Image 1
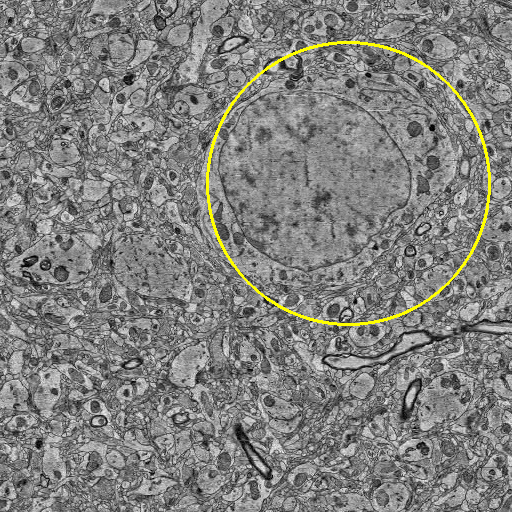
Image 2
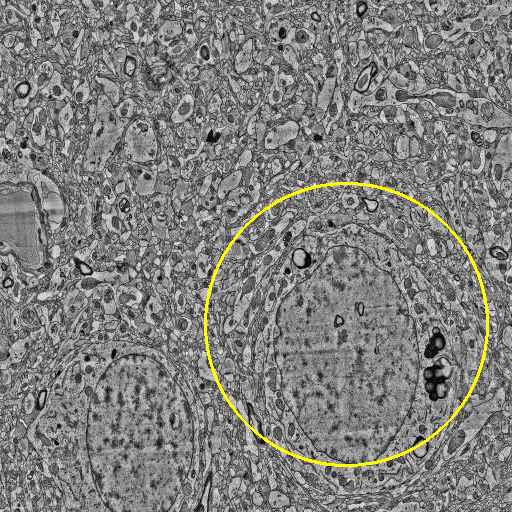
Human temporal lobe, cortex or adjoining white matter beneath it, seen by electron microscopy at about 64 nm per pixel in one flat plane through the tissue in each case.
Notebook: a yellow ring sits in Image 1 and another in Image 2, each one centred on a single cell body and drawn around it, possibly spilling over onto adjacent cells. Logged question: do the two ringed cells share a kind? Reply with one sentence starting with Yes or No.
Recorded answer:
Yes, both centre cells inside the rings of Image 1 and Image 2 share one kind.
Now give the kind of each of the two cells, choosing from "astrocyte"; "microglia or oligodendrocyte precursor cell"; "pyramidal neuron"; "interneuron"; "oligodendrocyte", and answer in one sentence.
In both pictures the ring is centred on a pyramidal neuron.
